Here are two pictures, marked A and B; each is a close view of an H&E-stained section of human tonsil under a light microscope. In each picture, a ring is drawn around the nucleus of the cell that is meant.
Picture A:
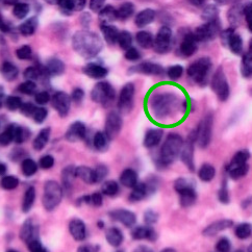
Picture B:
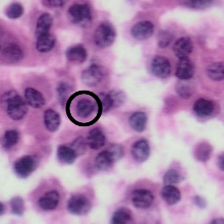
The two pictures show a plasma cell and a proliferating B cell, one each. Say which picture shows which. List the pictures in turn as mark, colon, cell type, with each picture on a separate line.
A: proliferating B cell
B: plasma cell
